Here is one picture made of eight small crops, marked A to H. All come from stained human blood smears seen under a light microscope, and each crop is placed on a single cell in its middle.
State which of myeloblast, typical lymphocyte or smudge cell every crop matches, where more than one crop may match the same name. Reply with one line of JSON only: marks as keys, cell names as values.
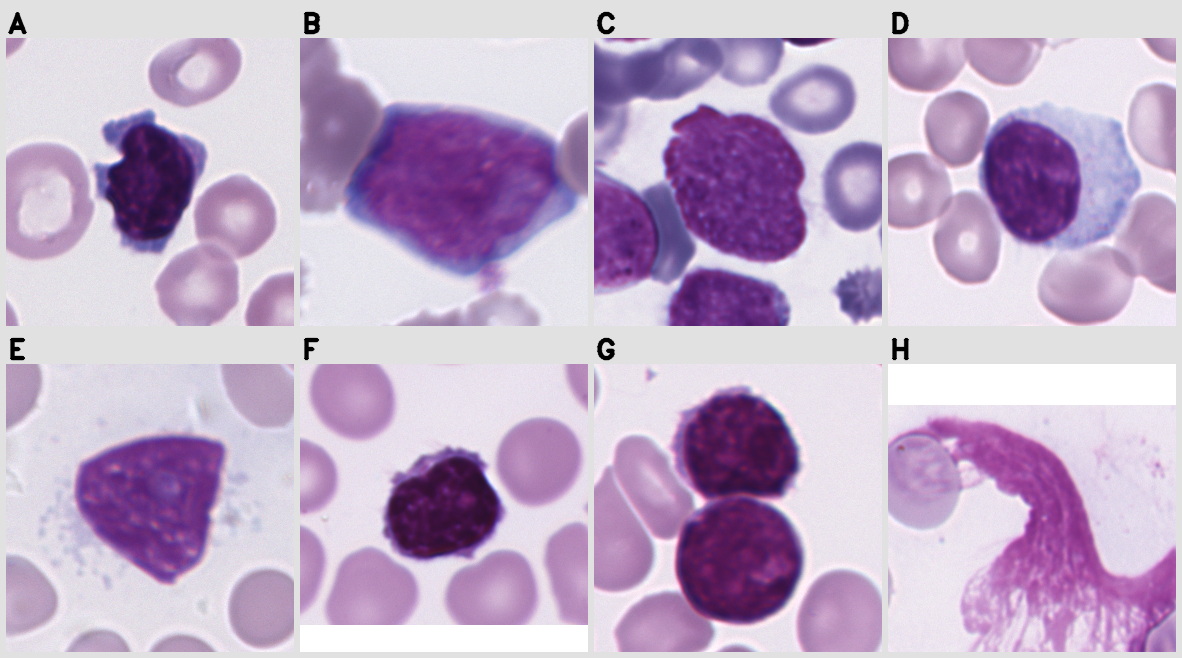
{"A": "typical lymphocyte", "B": "myeloblast", "C": "smudge cell", "D": "typical lymphocyte", "E": "smudge cell", "F": "typical lymphocyte", "G": "myeloblast", "H": "smudge cell"}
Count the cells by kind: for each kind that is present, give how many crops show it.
typical lymphocyte: 3
smudge cell: 3
myeloblast: 2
